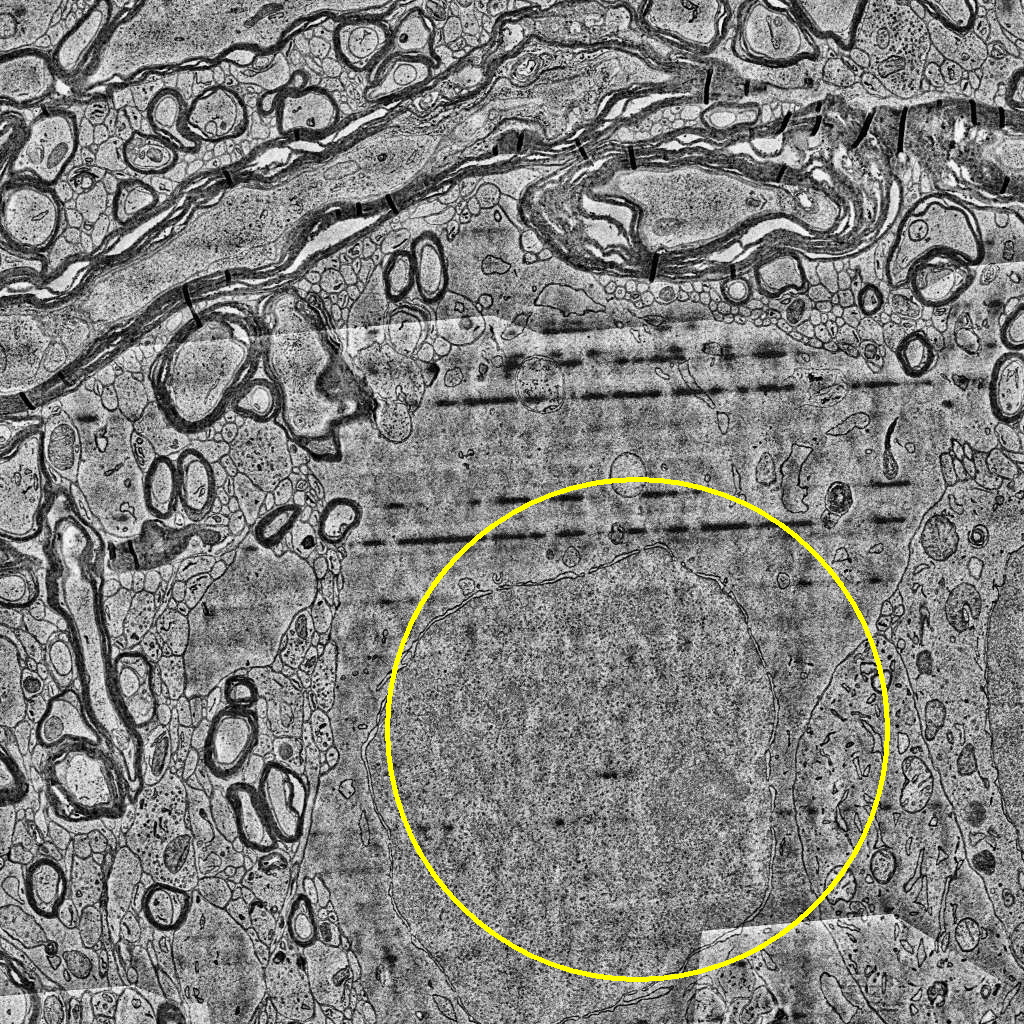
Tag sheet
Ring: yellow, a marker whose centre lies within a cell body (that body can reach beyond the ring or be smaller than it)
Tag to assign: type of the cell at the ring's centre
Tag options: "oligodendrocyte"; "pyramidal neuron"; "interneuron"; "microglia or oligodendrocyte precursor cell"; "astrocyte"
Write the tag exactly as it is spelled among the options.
astrocyte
